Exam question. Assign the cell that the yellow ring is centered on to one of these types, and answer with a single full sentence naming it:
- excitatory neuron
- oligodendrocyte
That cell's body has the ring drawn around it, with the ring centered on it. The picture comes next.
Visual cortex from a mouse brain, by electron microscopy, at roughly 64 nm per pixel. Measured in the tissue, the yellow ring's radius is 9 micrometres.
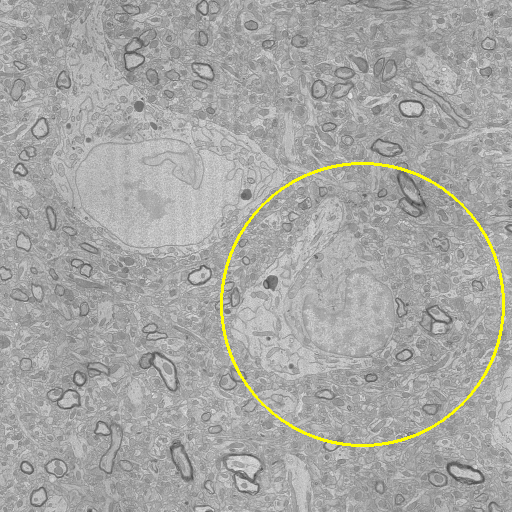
In the micrograph, the cell the yellow ring is centered on is an oligodendrocyte.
